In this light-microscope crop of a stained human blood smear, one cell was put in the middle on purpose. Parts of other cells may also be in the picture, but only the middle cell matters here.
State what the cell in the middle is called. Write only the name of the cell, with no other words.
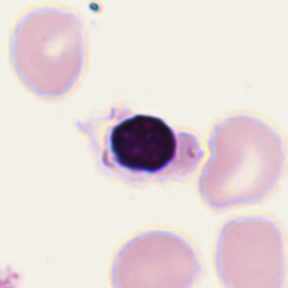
normoblast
